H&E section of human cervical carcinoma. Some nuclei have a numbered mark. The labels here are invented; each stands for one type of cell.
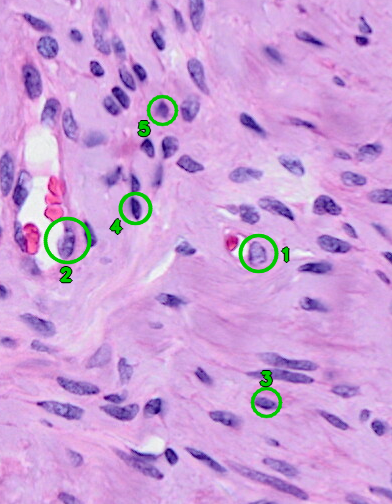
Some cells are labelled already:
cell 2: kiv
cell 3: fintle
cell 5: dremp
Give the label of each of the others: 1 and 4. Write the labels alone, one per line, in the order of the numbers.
kiv
dremp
